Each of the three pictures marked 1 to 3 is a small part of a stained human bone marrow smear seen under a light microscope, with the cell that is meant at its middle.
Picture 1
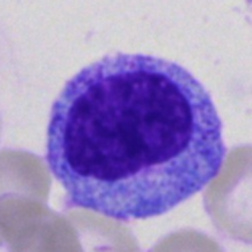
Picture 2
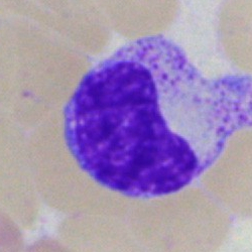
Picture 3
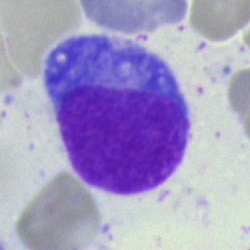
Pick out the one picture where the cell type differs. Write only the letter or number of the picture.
3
